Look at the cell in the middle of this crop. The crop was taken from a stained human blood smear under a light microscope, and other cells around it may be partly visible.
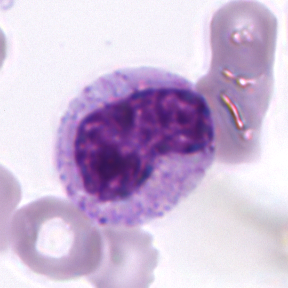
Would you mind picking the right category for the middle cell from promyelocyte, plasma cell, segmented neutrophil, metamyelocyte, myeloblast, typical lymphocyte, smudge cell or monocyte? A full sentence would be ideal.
The cell under consideration, at the middle of the crop, is a metamyelocyte.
